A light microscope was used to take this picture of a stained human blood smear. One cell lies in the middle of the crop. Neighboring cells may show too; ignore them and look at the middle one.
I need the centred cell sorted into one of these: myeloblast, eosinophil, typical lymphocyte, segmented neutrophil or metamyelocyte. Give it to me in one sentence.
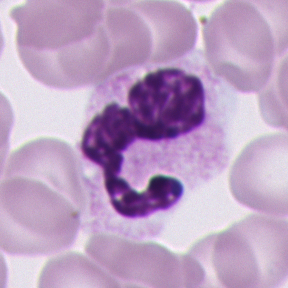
Of the cells in this crop, the central one is a segmented neutrophil.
